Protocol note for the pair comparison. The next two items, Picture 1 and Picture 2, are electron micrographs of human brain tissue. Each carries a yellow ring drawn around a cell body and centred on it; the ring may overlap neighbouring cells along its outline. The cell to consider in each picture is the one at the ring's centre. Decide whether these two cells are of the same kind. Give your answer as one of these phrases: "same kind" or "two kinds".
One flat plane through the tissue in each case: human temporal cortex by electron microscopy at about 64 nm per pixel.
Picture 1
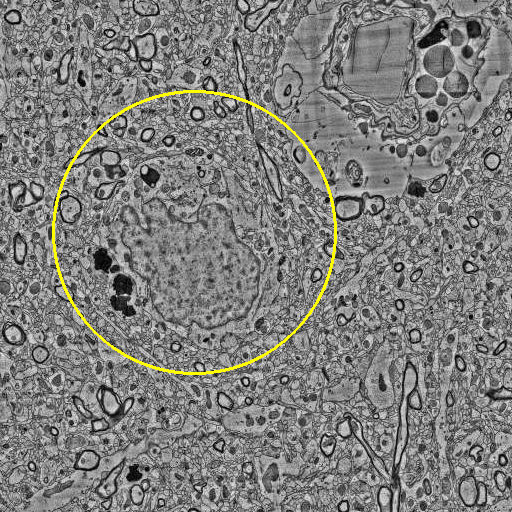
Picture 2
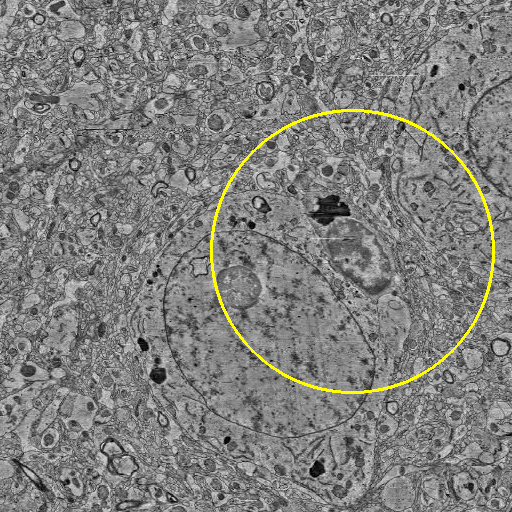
two kinds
